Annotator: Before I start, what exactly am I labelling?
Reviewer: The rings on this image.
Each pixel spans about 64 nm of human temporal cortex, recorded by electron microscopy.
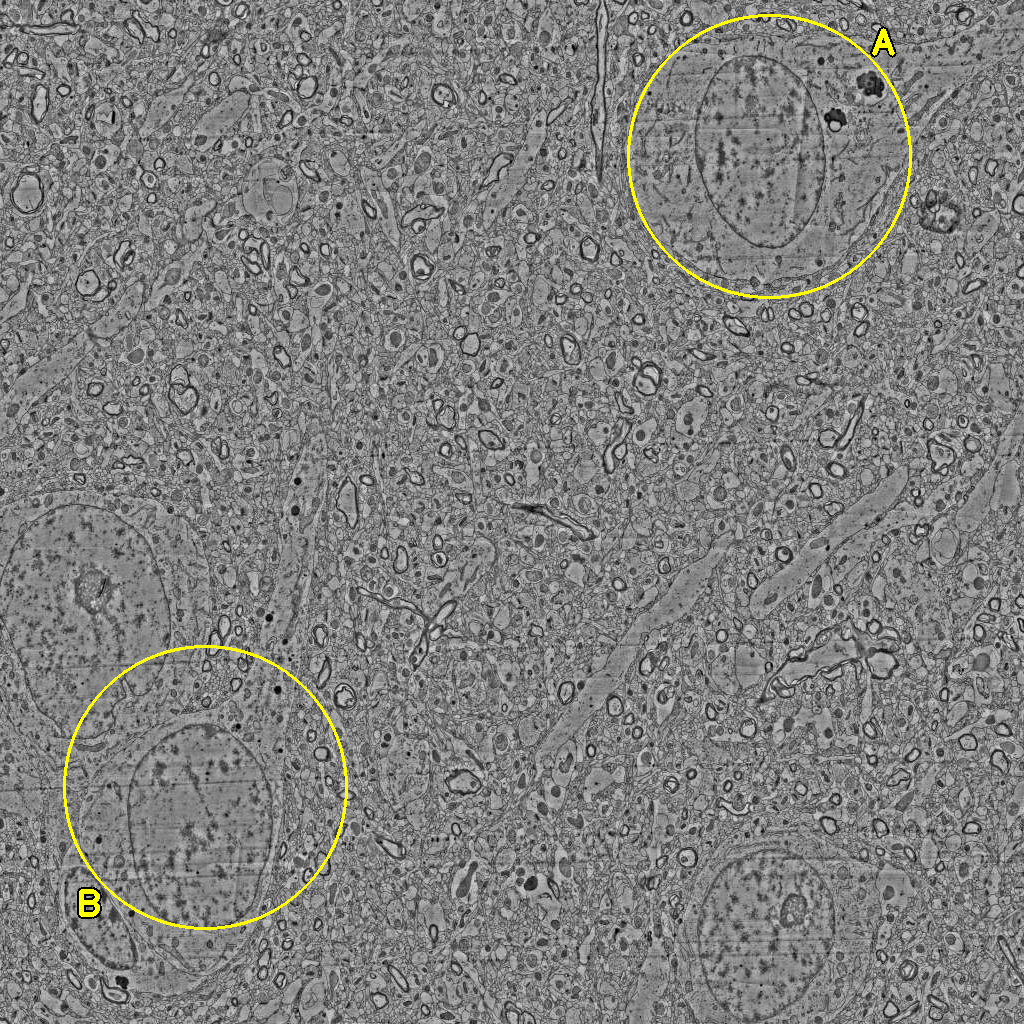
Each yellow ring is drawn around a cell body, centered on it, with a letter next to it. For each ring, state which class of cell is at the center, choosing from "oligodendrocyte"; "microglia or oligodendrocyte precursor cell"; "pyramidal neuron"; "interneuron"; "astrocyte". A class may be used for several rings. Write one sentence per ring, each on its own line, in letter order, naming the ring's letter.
At the center of ring A we have a pyramidal neuron.
At the center of ring B we have a pyramidal neuron.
